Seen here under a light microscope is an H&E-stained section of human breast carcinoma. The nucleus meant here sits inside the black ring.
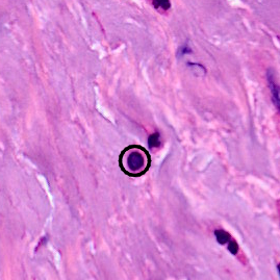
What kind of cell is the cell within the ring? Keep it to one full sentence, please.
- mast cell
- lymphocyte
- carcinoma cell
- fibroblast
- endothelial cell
So far as cell type goes, the cell within the ring is a mast cell.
